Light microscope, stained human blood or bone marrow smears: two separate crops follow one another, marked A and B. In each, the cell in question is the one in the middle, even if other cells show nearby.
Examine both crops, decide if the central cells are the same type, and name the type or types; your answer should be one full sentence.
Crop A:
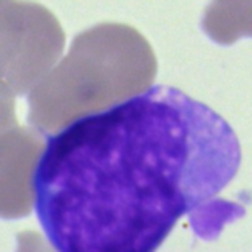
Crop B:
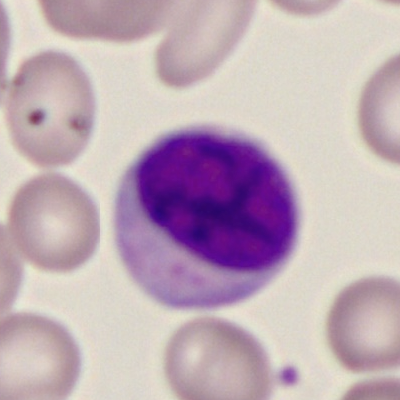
No, crop A has a blast at its center, and crop B has a lymphocyte.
